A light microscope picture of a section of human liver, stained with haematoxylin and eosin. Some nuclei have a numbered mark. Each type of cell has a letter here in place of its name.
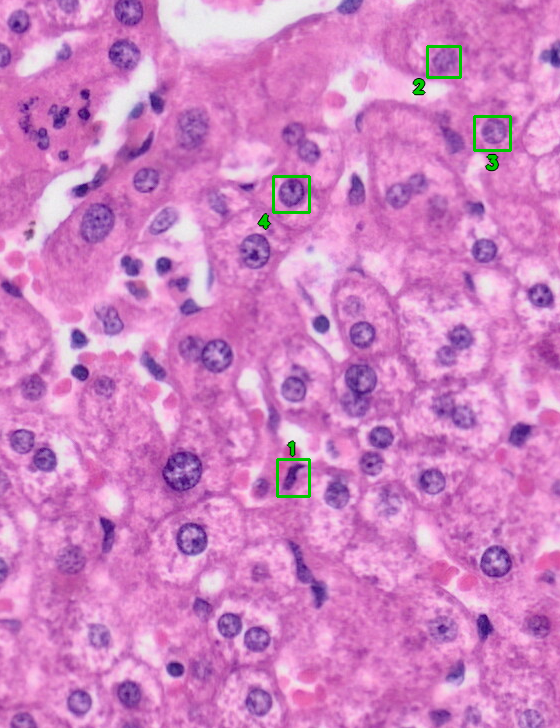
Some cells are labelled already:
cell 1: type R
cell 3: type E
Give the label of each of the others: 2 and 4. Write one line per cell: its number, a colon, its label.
2: type E
4: type E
